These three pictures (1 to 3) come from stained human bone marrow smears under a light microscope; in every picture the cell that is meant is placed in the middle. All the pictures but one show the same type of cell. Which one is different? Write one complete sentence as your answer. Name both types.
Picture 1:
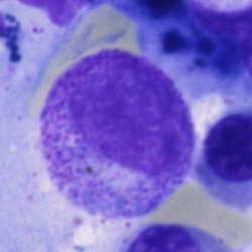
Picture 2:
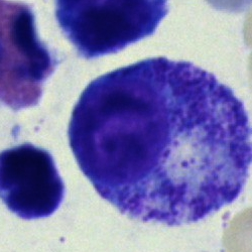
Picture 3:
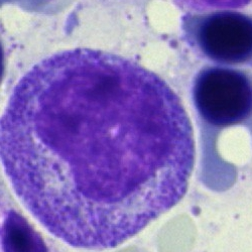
Picture 2 differs, because its cell is a promyelocyte and the rest are myelocytes.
